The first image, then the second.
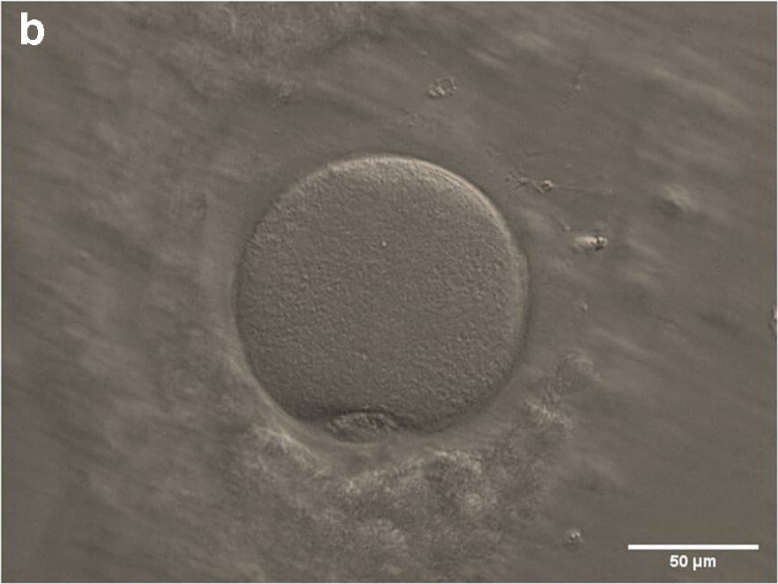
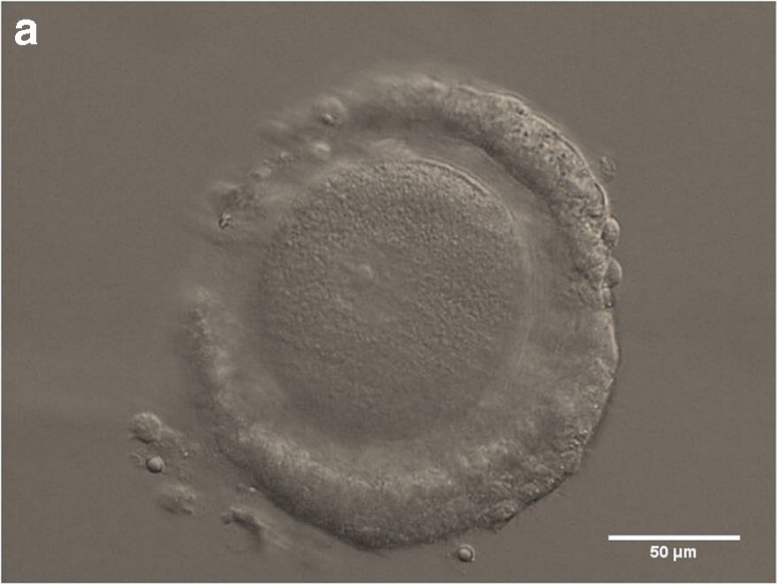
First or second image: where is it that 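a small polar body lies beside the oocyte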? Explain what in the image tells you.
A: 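The first image. First image: a small flattened body sits at the lower edge of the oocyte. Second image: no small body is seen beside the oocyte within its coat.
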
